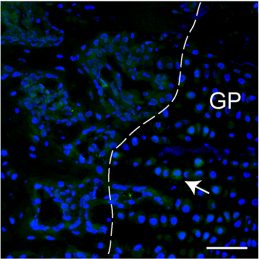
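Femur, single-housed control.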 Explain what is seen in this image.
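In the growth plate, oval blue nuclei of cartilage cells are set apart in a dark matrix and line up in short columns. On the left, the tissue is irregular, with crowded nuclei and faint green-tinged strands and spaces.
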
